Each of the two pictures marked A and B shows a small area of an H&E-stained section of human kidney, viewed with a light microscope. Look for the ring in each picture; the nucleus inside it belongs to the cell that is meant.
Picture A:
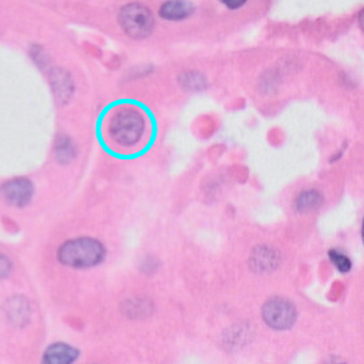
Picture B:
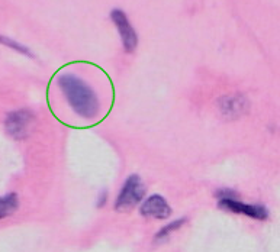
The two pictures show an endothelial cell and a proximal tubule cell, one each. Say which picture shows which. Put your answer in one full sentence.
In picture A the cell is a proximal tubule cell; in picture B, an endothelial cell.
